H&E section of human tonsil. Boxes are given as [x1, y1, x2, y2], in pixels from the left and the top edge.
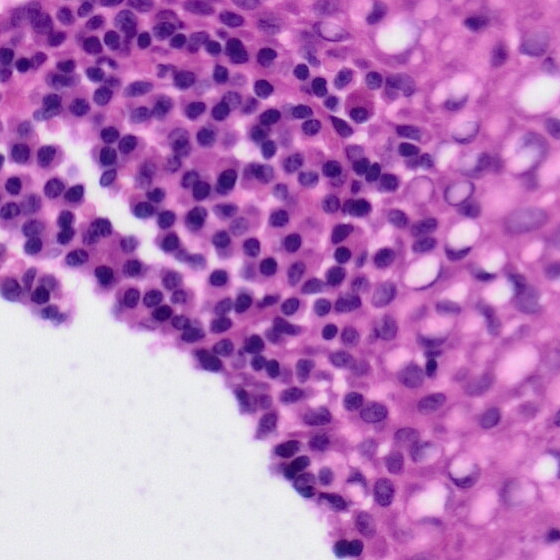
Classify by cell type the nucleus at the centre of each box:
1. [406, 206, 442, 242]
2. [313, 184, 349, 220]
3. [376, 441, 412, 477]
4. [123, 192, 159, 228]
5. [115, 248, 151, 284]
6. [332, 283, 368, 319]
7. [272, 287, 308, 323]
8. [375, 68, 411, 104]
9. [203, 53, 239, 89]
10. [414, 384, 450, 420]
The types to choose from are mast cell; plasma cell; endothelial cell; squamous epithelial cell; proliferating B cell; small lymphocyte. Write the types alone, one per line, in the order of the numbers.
squamous epithelial cell
plasma cell
squamous epithelial cell
plasma cell
plasma cell
squamous epithelial cell
plasma cell
squamous epithelial cell
plasma cell
squamous epithelial cell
